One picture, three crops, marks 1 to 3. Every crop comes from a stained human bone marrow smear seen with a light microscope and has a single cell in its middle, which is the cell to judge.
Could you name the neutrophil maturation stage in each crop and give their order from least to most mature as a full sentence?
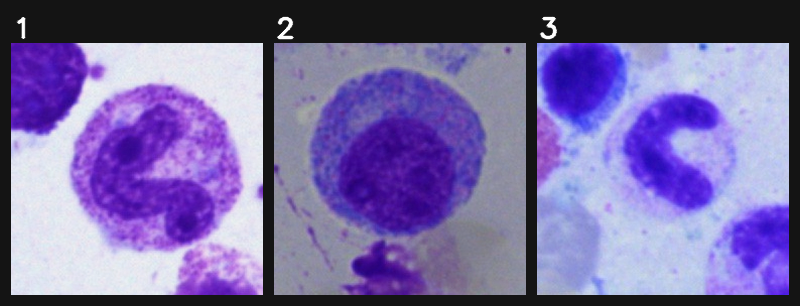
Ranked in ascending maturity, the crops are crop 2 (a promyelocyte), crop 3 (a band neutrophil) and crop 1 (a segmented neutrophil).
